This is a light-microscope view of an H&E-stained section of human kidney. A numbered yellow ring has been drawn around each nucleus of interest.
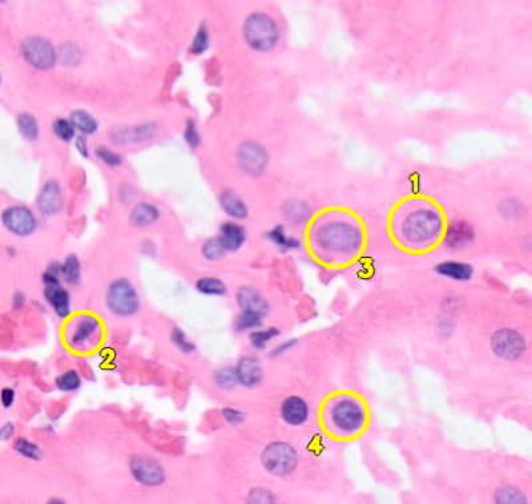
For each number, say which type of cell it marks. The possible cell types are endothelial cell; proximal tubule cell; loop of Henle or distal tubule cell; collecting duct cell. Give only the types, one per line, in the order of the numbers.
proximal tubule cell
endothelial cell
proximal tubule cell
proximal tubule cell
